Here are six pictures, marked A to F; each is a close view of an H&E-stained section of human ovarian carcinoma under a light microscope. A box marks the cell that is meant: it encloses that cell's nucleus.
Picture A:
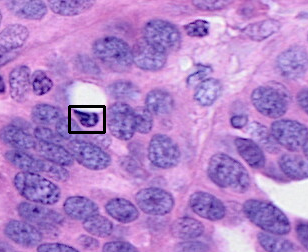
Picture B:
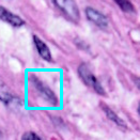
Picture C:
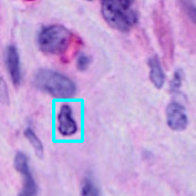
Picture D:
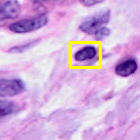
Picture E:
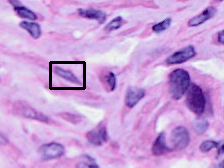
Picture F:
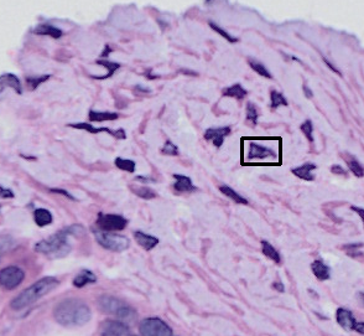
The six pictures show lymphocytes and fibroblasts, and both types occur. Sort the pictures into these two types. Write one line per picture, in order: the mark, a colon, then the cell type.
A: lymphocyte
B: fibroblast
C: lymphocyte
D: lymphocyte
E: fibroblast
F: fibroblast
